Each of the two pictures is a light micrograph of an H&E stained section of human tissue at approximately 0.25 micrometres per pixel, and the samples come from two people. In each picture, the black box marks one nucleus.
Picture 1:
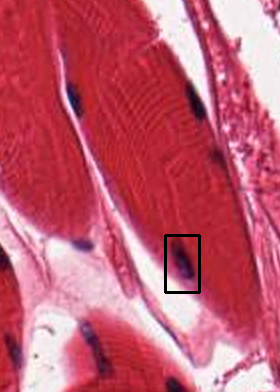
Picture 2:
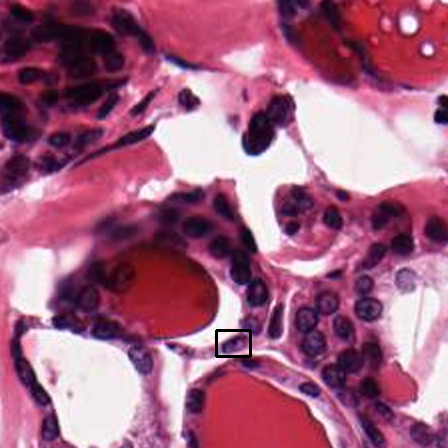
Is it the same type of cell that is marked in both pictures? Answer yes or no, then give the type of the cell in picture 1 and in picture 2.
No, the first is a skeletal muscle fibre and the second a thyroid follicular cell.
